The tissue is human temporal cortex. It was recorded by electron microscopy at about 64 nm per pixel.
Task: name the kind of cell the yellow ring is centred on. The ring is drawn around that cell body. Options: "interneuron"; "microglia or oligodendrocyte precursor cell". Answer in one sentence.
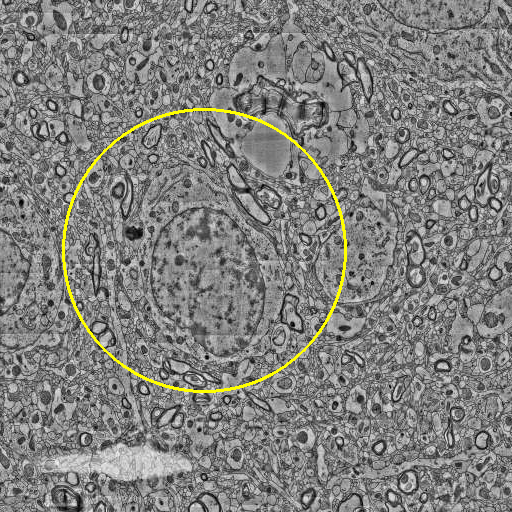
This cell body belongs to an interneuron.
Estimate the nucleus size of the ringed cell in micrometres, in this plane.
The nucleus comes to roughly 10 by 7 micrometres in this plane.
